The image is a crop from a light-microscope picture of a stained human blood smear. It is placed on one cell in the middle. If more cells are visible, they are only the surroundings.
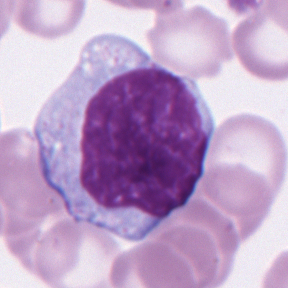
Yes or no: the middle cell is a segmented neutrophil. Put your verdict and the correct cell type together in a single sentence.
No, the middle cell is actually a monocyte rather than a segmented neutrophil.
